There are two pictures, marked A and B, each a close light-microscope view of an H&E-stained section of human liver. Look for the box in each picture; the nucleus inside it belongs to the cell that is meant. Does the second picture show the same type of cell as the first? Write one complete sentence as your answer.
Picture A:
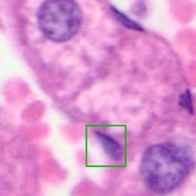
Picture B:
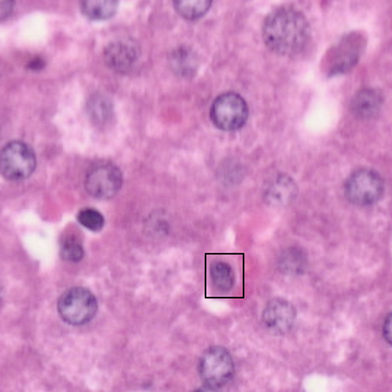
No, the types are not the same, since picture A shows a “fibroblast or stellate cell” and picture B a Kupffer cell.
